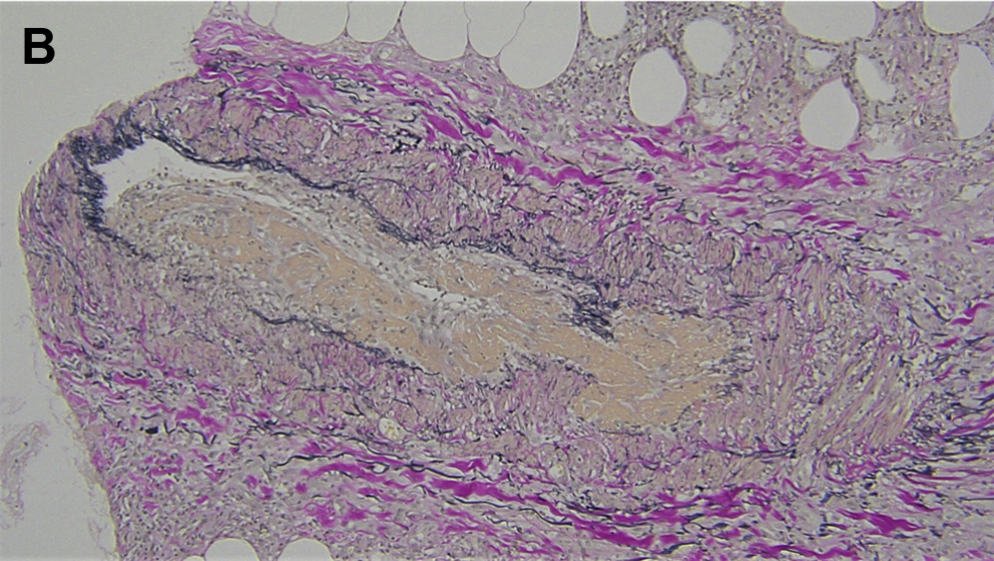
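Wavy black elastic fibres outline the vessel wall, running along both sides of a narrow slit-like lumen at the left. The inner part of the vessel is filled with pale yellow-tan material, while the surrounding connective tissue shows magenta-pink collagen bundles. Round empty fat cells lie along the top.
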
